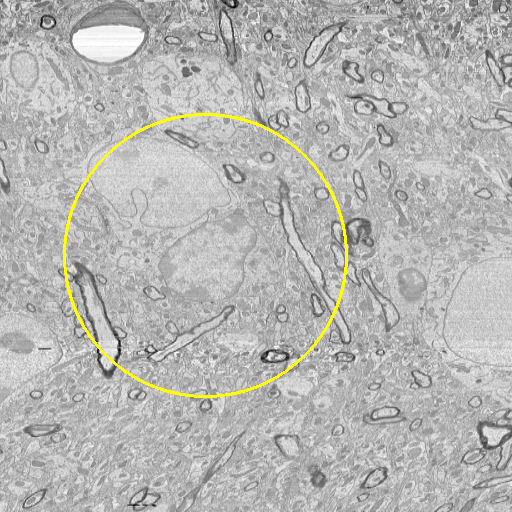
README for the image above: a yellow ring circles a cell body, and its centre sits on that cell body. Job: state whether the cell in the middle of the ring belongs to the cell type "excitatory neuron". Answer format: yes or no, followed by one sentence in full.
No, in the image, the ring's central cell belongs to another type.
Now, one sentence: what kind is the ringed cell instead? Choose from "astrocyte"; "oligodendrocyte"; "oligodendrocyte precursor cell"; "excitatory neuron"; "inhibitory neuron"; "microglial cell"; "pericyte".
The cell this ring marks is an oligodendrocyte.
